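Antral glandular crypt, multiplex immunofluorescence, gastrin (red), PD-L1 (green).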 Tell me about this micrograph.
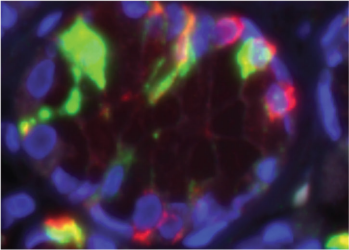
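A single gland is cut across, a ring of epithelial cells with blue nuclei around a central lumen. Scattered among them are individual cells lit in green and in red, some bright green and triangular or flask-shaped, others outlined in red at the base of the ring, with yellow where the two colours overlap.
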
